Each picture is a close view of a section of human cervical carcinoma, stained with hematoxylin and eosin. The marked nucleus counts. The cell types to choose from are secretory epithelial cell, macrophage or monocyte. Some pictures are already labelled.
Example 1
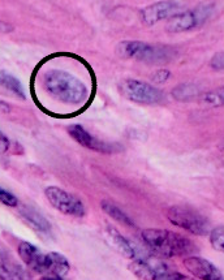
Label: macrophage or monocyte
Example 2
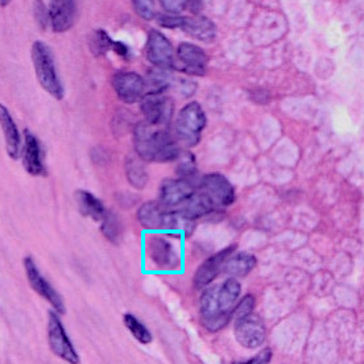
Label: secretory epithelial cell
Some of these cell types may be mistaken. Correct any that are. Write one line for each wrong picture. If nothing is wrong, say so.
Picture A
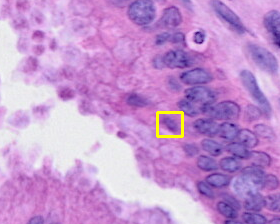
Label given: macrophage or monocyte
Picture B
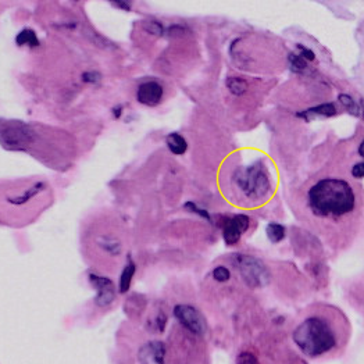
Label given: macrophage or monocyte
A: not macrophage or monocyte but secretory epithelial cell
